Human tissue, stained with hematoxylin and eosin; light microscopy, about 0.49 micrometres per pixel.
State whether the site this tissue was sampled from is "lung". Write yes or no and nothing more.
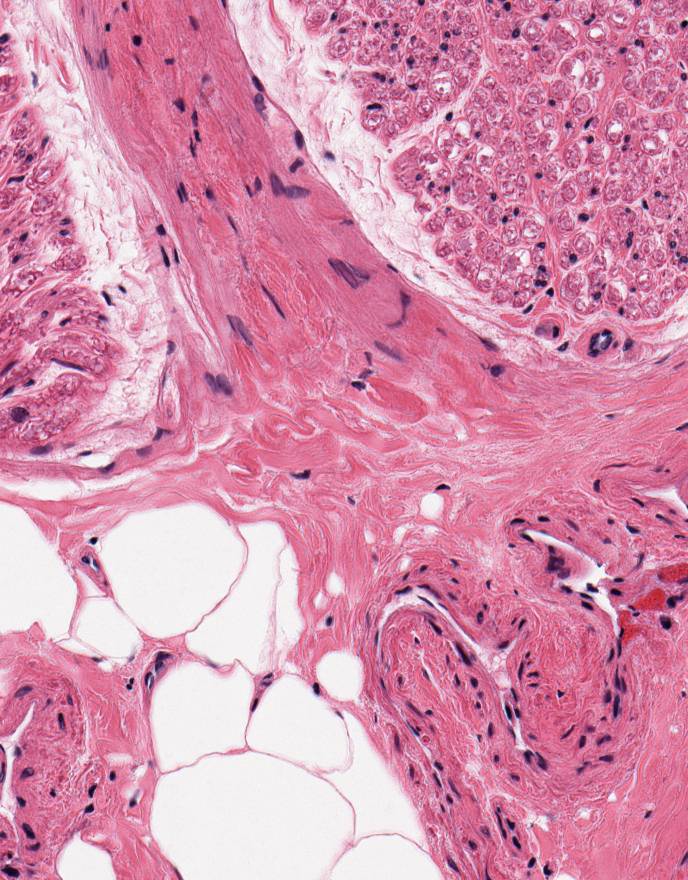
no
